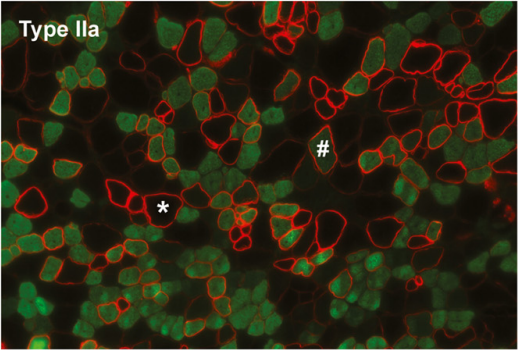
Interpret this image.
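This is a transverse section of skeletal muscle, showing closely packed polygonal muscle fibers. Many fibers are filled with green throughout their cross-section, and these green fibers tend to lie in groups rather than singly. Some fibers, green or not, are rimmed by a red ring at their surface, while many others have only a dim outline. The green fibers are mostly small to medium in size, with larger unstained fibers lying between the groups.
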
